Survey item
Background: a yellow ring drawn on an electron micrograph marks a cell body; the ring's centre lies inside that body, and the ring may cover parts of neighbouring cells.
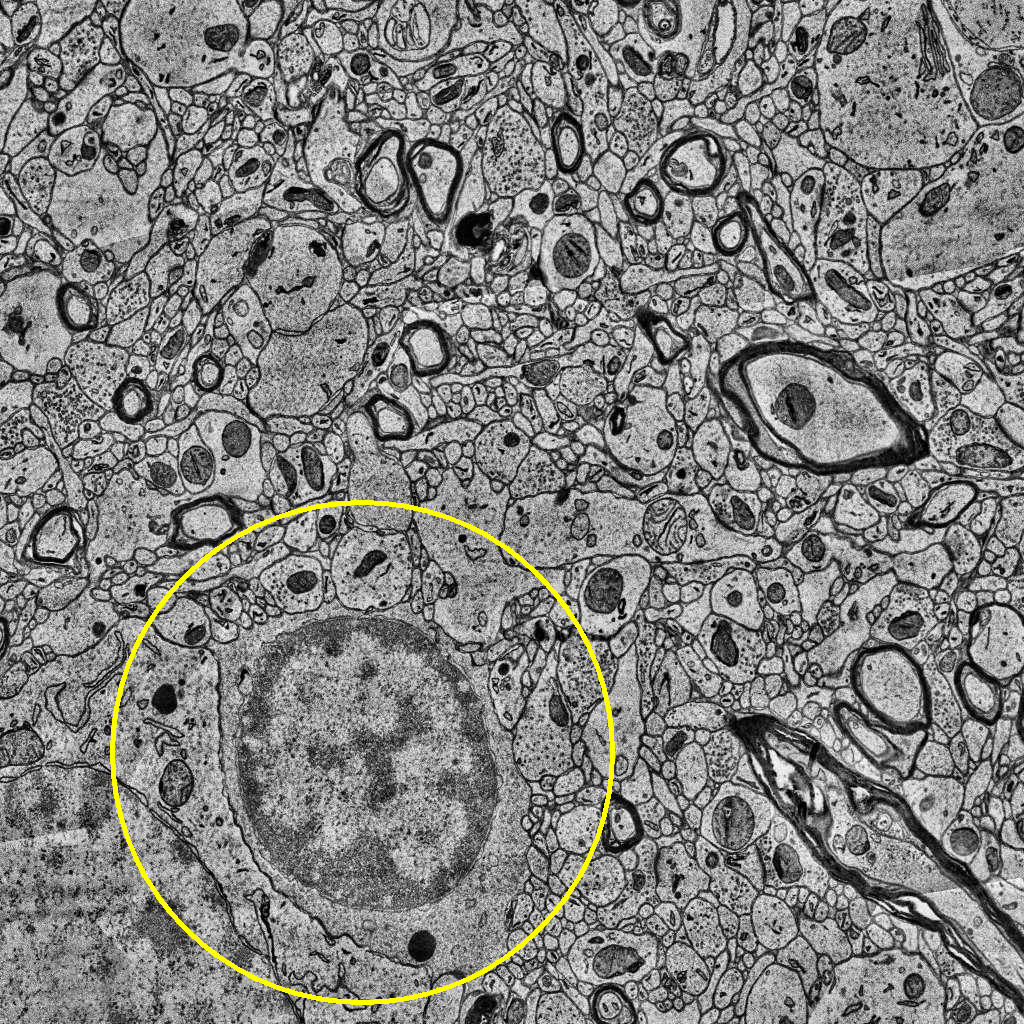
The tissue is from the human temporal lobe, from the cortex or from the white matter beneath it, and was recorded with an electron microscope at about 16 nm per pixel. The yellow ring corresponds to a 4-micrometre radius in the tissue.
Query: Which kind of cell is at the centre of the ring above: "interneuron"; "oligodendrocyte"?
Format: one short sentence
The cell in the middle of the ring is an oligodendrocyte.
